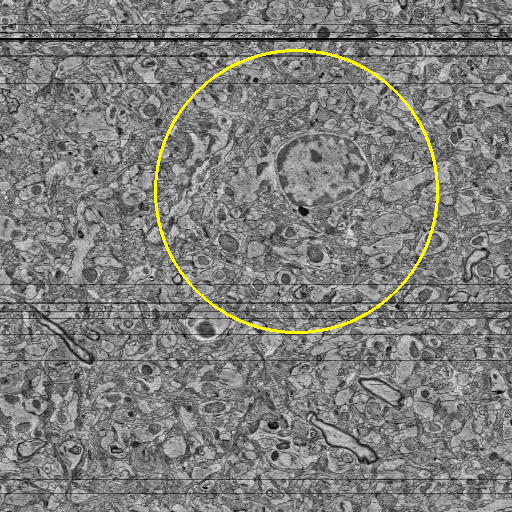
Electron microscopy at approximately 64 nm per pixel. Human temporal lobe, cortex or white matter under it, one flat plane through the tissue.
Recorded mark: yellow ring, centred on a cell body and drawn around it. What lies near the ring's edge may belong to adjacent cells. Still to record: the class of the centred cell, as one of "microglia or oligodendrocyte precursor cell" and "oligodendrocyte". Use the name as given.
microglia or oligodendrocyte precursor cell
